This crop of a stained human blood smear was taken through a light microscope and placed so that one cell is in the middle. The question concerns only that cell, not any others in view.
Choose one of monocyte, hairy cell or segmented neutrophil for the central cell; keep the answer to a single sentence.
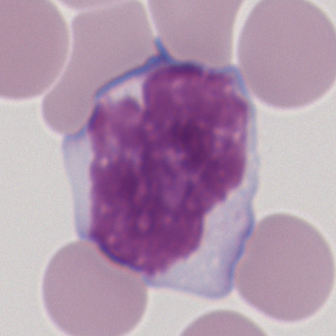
Located at the centre of the crop is a monocyte.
